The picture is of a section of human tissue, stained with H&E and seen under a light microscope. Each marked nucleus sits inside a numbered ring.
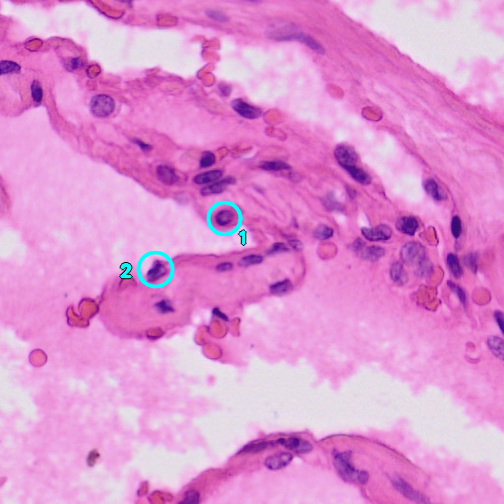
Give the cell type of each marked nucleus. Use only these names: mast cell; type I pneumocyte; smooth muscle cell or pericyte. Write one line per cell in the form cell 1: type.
cell 1: mast cell
cell 2: type I pneumocyte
